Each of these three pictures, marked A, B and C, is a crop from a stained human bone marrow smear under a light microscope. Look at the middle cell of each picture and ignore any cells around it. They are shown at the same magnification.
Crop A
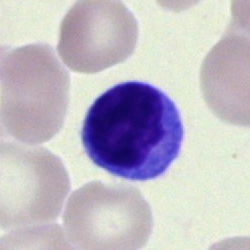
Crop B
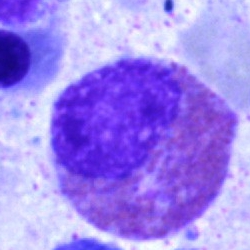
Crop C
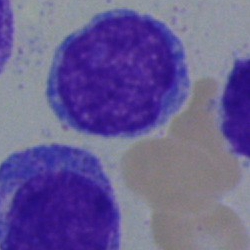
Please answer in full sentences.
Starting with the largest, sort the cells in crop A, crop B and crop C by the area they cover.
The order is B, C, A, beginning with the largest.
